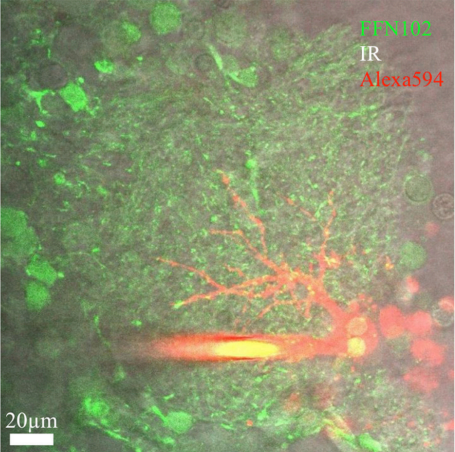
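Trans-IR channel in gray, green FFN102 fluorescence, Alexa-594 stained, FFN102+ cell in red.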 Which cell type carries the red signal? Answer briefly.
Single neuron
